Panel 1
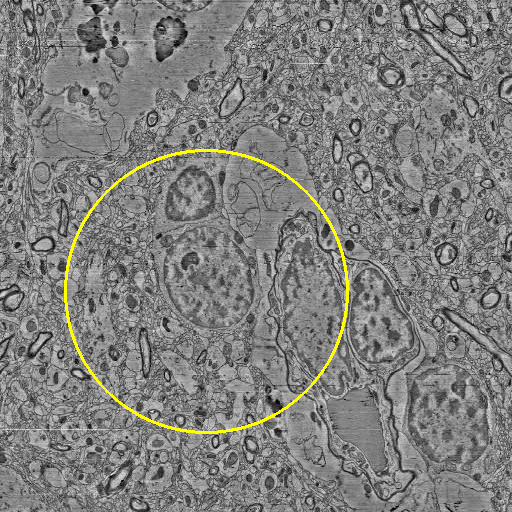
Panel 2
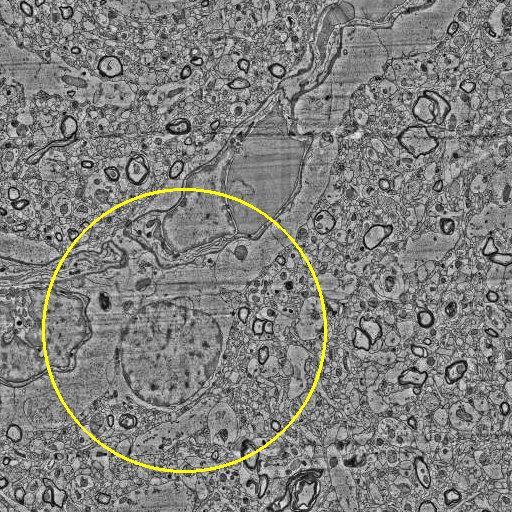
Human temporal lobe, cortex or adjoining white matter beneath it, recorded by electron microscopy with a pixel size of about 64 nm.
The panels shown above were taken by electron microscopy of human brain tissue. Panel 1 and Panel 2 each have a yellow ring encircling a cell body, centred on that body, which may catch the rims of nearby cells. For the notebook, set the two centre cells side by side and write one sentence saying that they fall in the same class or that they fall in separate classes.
The centred cells of Panel 1 and Panel 2 fall in separate classes.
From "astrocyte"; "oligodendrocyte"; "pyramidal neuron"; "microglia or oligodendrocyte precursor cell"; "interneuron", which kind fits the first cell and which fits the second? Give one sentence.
The cell marked in the first picture is an oligodendrocyte, and the one marked in the second is a microglial cell or oligodendrocyte precursor cell.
